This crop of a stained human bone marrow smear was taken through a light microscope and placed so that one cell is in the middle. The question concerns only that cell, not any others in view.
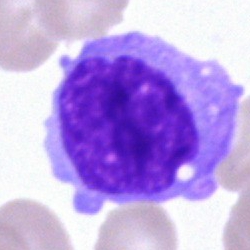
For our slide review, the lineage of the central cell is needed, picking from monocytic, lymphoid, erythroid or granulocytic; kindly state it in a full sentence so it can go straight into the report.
The cell held in the center of the crop belongs to the monocytic lineage.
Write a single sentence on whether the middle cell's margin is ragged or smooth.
The border of the cell is irregular, being either ragged or extended into projections.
